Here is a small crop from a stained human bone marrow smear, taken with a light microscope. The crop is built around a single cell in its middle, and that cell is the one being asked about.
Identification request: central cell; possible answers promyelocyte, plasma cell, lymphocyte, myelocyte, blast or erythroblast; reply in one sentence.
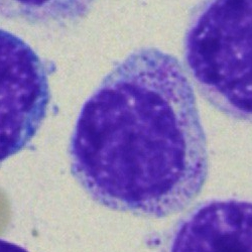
The central element of this crop is a cell, namely a myelocyte.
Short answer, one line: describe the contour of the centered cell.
Smooth edges only, with no spikes, blebs, or other projections.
